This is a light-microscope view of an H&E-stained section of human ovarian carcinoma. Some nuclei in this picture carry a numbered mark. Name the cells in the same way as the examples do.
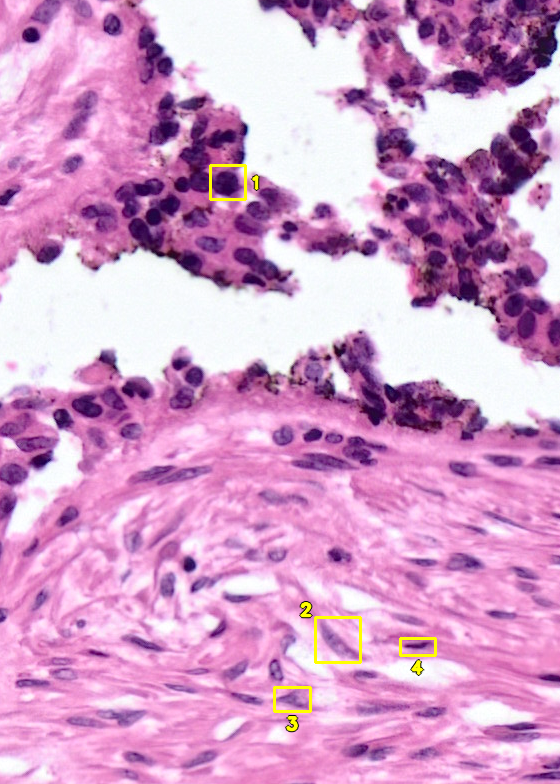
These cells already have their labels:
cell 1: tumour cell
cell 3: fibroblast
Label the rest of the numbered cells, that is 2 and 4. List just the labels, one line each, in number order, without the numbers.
fibroblast
fibroblast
